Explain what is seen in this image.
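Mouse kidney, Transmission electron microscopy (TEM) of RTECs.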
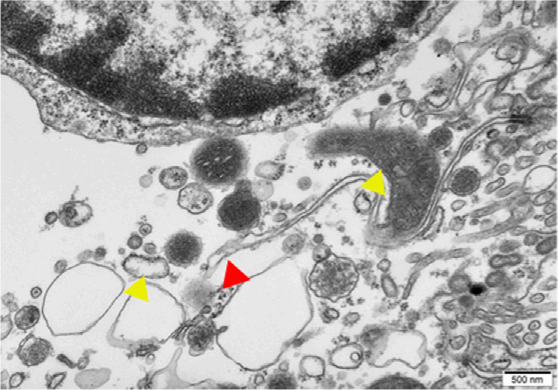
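This electron micrograph of a renal tubular epithelial cell shows part of a nucleus with dark clumped chromatin at the top, and below it a cytoplasm largely emptied into pale spaces. Large round membrane-bound vacuoles, small scattered organelle fragments and a few dense mitochondria lie in the pale area, and some membranes are broken.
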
